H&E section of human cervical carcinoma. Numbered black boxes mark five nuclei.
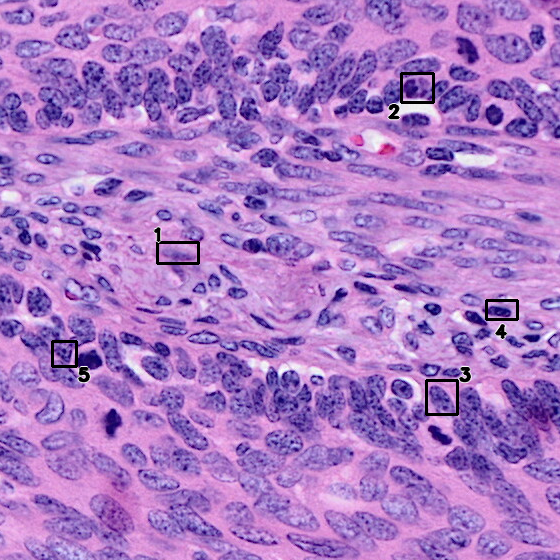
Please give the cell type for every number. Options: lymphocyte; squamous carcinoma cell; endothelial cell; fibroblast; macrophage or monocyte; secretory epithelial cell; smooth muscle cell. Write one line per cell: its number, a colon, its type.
1: smooth muscle cell
2: squamous carcinoma cell
3: squamous carcinoma cell
4: lymphocyte
5: squamous carcinoma cell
